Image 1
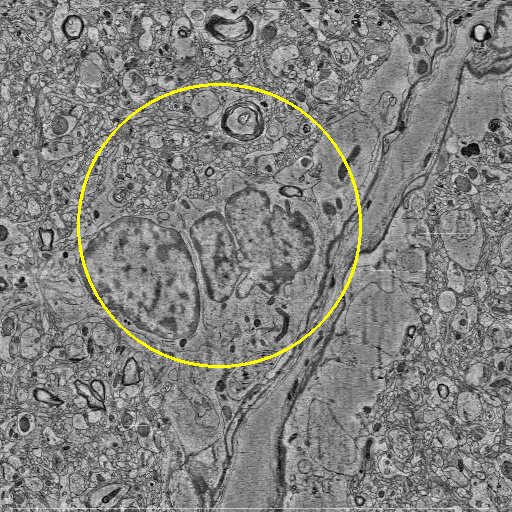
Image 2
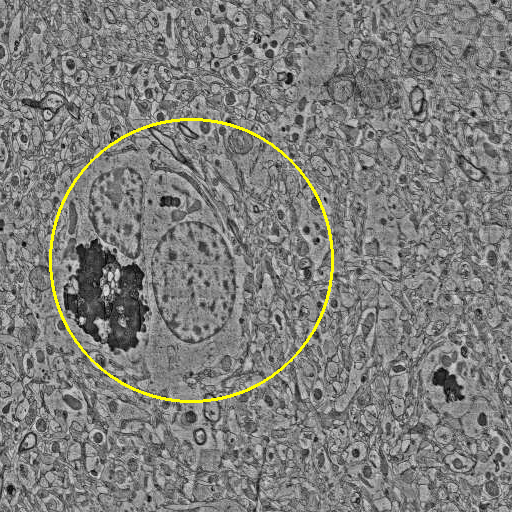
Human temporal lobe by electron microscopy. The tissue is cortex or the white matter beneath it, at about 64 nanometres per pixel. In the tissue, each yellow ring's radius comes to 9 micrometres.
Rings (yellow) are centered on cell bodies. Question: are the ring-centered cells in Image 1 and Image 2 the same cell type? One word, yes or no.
no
